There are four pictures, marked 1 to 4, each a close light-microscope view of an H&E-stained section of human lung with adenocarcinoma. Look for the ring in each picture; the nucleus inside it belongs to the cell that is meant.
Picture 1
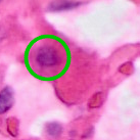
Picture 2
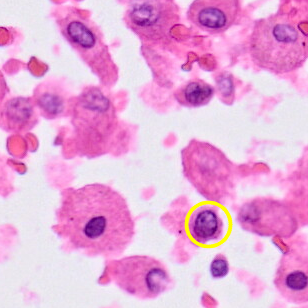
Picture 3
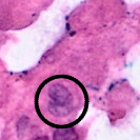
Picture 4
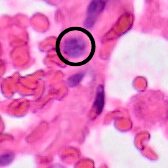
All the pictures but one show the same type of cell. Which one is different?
4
